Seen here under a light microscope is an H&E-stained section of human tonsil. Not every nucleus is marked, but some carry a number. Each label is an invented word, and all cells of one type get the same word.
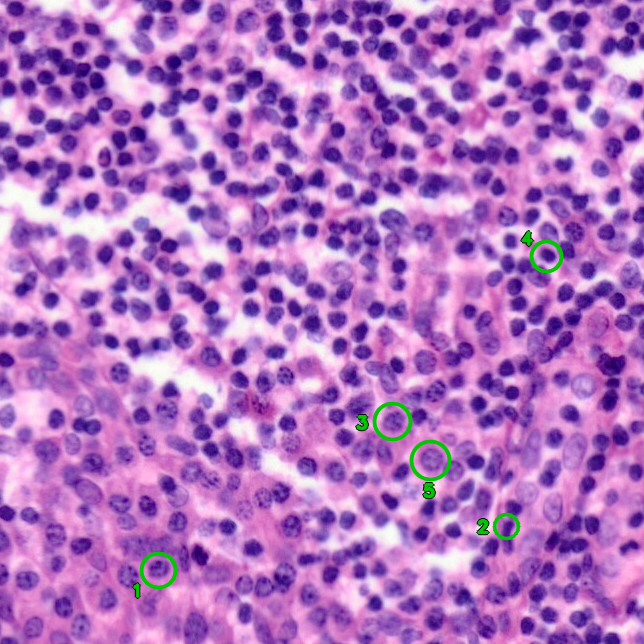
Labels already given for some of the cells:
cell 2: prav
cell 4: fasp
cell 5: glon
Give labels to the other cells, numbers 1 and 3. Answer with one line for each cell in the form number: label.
1: glon
3: glon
